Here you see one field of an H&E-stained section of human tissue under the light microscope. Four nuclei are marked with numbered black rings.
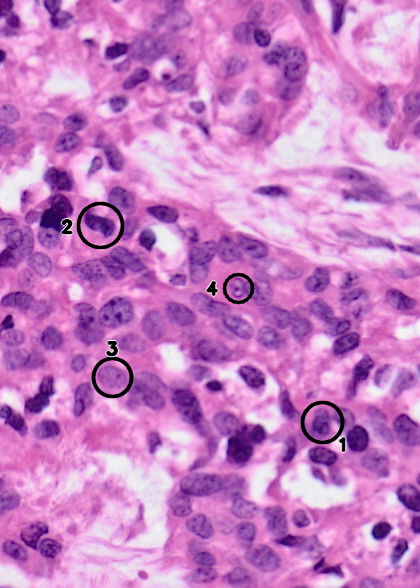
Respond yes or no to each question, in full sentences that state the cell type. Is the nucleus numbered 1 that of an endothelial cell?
No, the cell with number 1 is not an endothelial cell but a carcinoma cell.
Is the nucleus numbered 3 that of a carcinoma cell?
Yes, for number 3, the cell is a carcinoma cell.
